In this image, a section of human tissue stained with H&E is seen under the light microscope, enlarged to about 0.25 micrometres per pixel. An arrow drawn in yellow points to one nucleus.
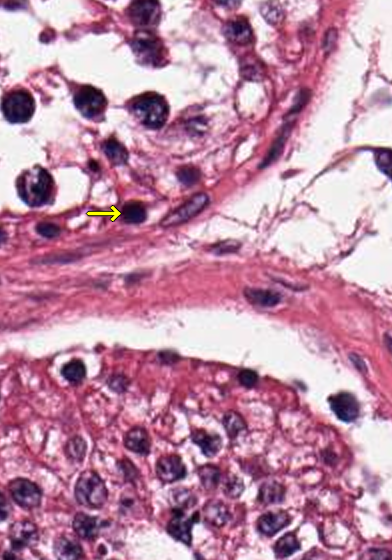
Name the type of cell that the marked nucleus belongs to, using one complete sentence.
The cell that the marked nucleus belongs to is a spermatogonium.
